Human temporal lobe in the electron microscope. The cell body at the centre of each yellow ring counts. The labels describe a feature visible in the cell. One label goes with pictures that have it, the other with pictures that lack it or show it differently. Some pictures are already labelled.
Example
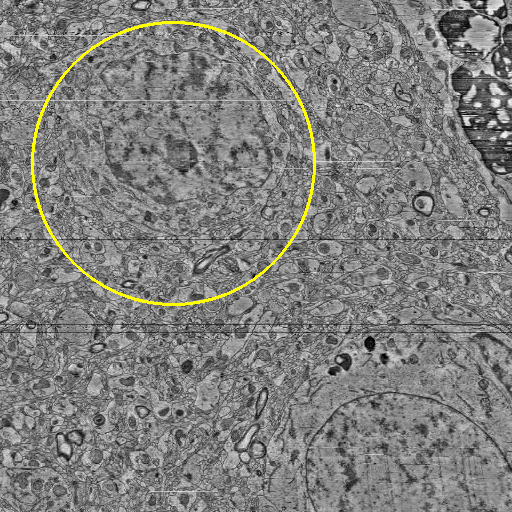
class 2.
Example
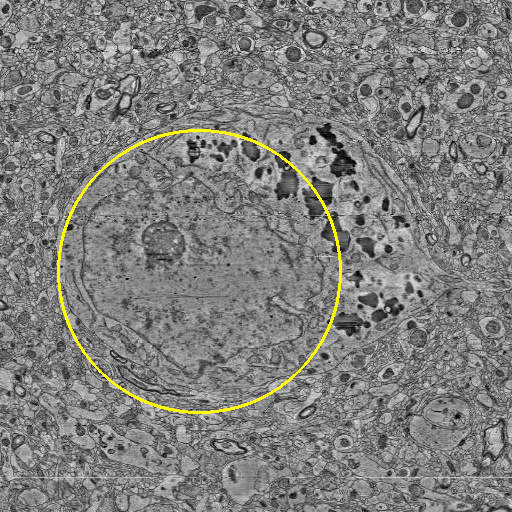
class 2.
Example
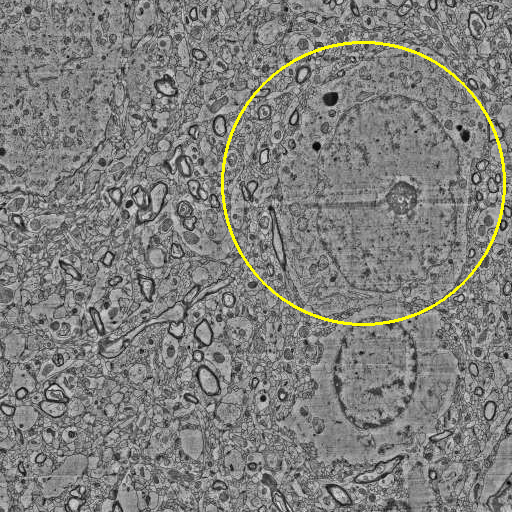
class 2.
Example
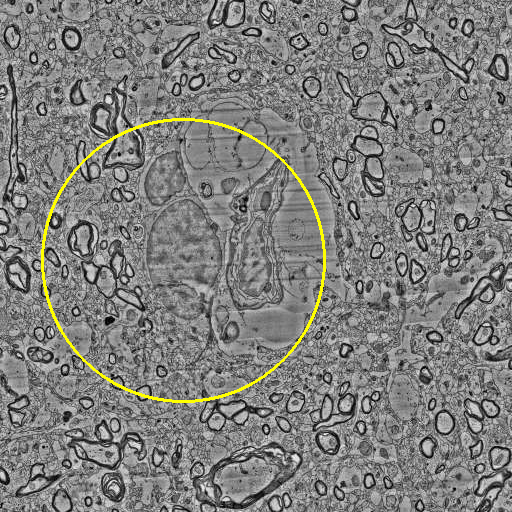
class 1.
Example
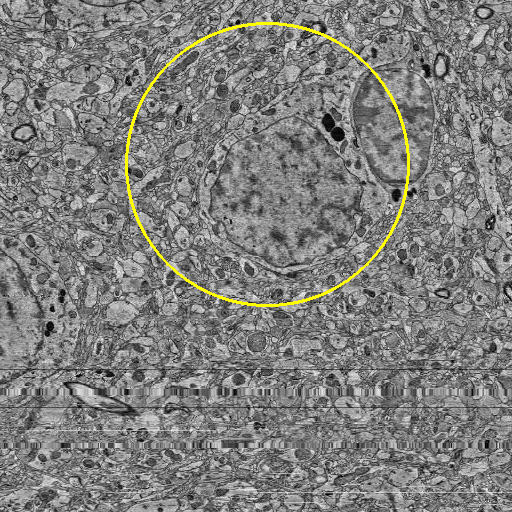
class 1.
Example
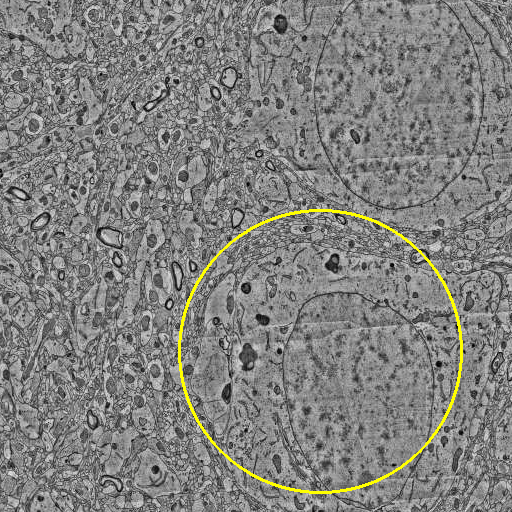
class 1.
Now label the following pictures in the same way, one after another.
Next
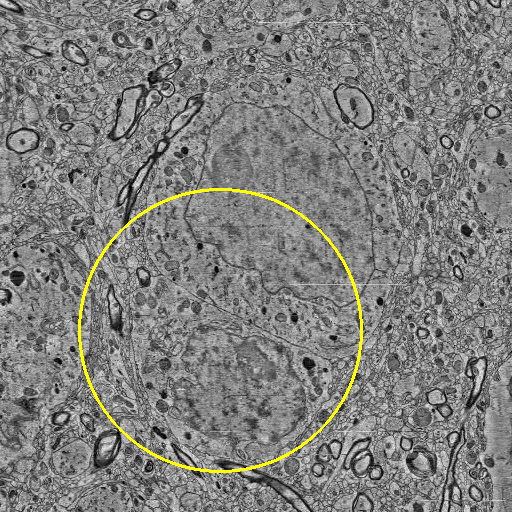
class 1.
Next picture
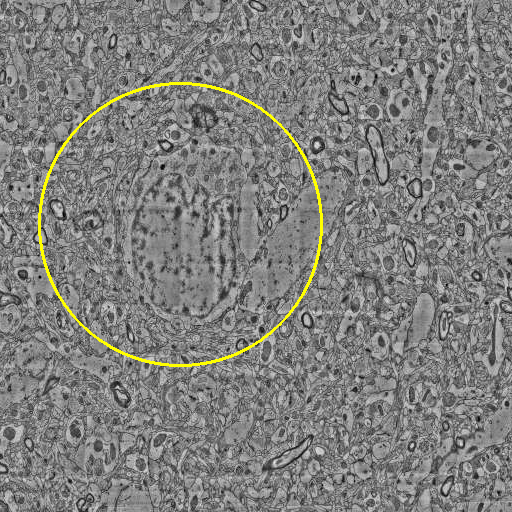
class 1.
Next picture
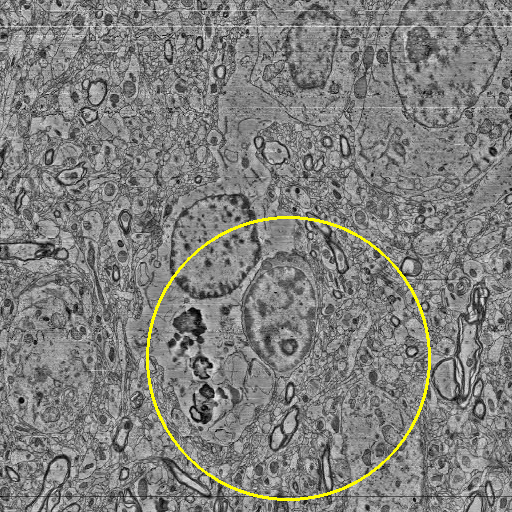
class 2.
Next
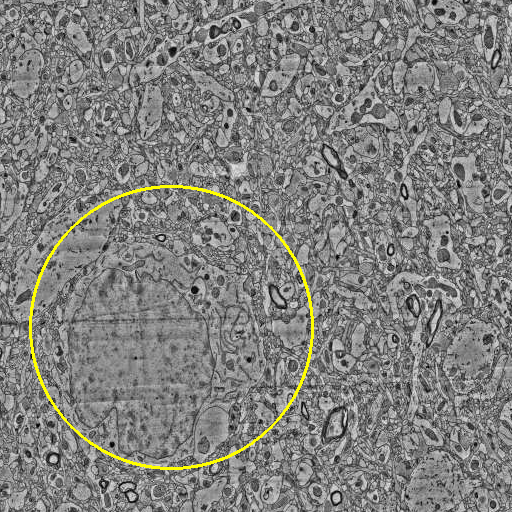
class 1.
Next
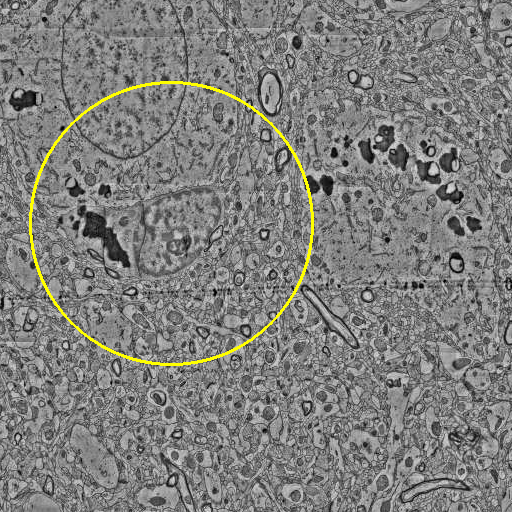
class 2.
